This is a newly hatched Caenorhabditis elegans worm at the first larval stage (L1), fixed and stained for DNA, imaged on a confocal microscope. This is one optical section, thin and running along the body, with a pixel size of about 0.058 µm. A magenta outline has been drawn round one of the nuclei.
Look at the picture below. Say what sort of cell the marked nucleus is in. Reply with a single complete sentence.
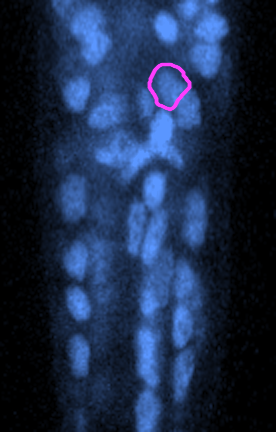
The marked nucleus is that of a neuron.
